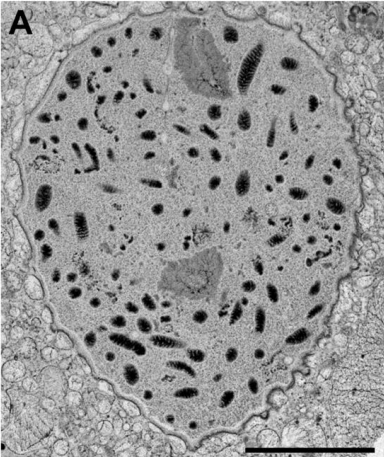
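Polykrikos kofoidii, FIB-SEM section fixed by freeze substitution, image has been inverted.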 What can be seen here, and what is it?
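A single large, rounded nucleus of this dinoflagellate fills the field, bounded by a thin envelope and surrounded by cytoplasm with small membranous profiles. Inside, numerous dark condensed chromosomes appear as rods, ovals and dots, many with a fine banded texture, scattered through a finely granular nucleoplasm. Two larger, paler gray homogeneous patches lie among them.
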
